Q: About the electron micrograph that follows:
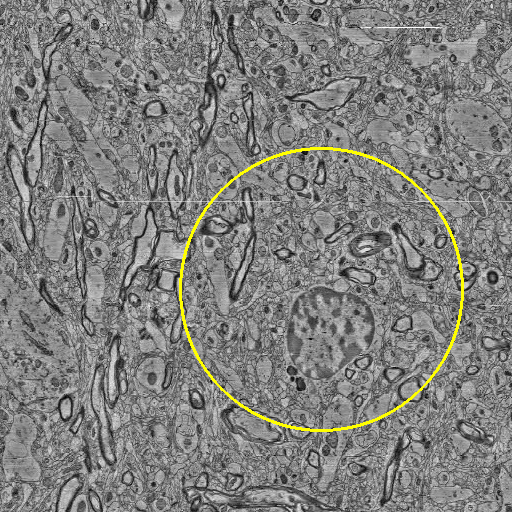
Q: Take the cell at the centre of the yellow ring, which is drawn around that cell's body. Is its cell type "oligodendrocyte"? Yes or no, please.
No, its type is another one.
